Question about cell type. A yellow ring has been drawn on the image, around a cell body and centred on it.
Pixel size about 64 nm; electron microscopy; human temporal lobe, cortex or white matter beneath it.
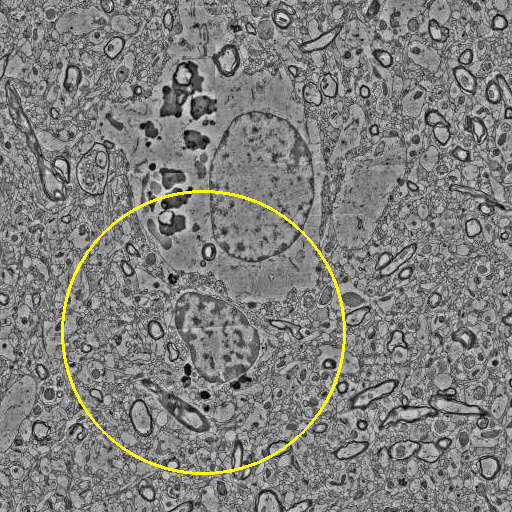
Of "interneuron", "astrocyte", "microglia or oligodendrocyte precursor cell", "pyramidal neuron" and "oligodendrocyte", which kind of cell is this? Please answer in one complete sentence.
At the centre of the ring lies a microglial cell or oligodendrocyte precursor cell.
